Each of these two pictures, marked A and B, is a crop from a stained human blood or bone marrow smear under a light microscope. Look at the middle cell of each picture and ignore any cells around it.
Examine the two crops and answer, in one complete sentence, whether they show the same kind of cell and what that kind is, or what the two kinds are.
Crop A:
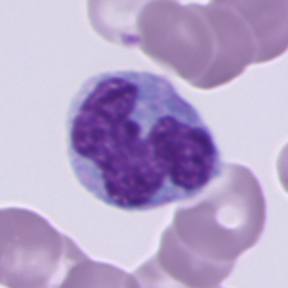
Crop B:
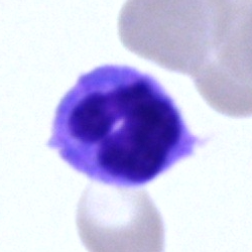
Yes, both crops show monocytes, and that holds for each one.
